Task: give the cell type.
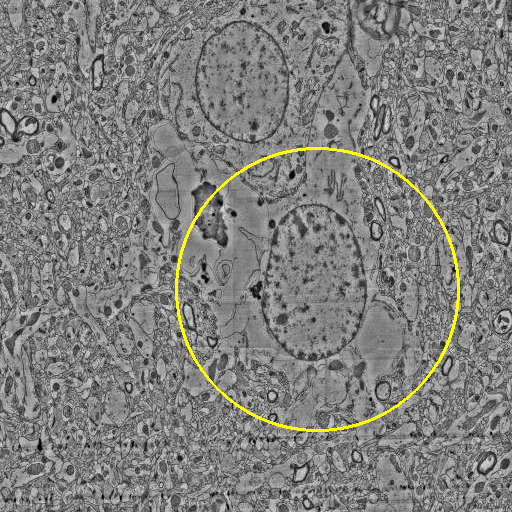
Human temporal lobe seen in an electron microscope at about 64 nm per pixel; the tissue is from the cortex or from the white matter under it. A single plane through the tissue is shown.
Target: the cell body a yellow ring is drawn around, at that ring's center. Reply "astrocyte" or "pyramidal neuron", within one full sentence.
In this picture, the cell whose body lies at the ring's center is an astrocyte.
